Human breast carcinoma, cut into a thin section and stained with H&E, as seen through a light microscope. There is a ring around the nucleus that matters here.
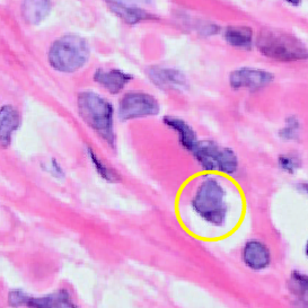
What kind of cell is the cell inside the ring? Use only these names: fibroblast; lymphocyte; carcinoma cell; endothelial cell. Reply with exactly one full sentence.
In the tissue under study, the cell inside the ring is a carcinoma cell.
